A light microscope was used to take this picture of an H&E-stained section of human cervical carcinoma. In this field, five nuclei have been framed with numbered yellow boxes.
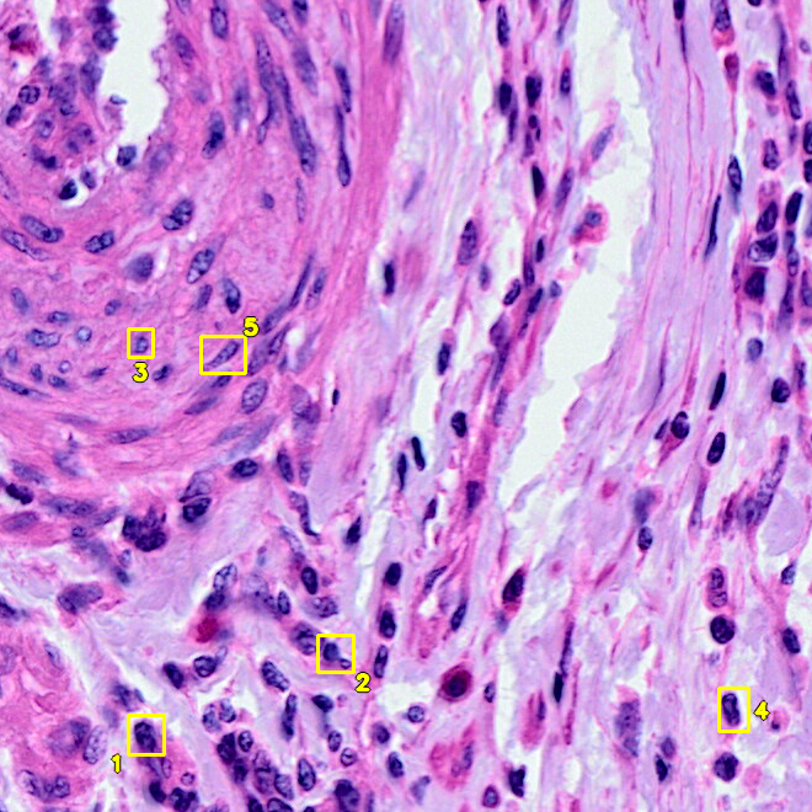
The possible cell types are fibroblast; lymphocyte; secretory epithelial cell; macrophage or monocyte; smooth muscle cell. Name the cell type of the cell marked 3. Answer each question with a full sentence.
Denoted by the label 3 in the section is a smooth muscle cell.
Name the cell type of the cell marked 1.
Of the numbered cells, the one labelled 1 is a lymphocyte.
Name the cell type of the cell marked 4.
The cell that goes by number 4 is a lymphocyte.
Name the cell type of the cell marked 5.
The numeral 5 marks a smooth muscle cell in this section.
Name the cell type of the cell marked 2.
Identified by the number 2, the cell is a lymphocyte.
